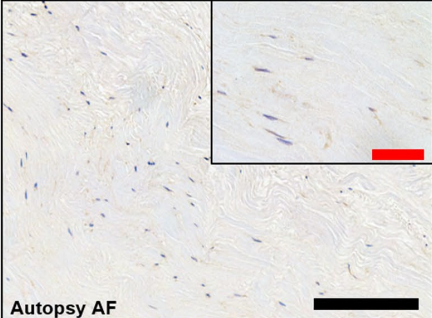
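This section of disc tissue shows sparse, slender cells with elongated, spindle-shaped blue nuclei lying within a pale, wavy fibrous matrix. The cells are aligned in the direction of the fibres and lie well apart from one another. Faint light brown staining is seen in the matrix and around a few cells.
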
